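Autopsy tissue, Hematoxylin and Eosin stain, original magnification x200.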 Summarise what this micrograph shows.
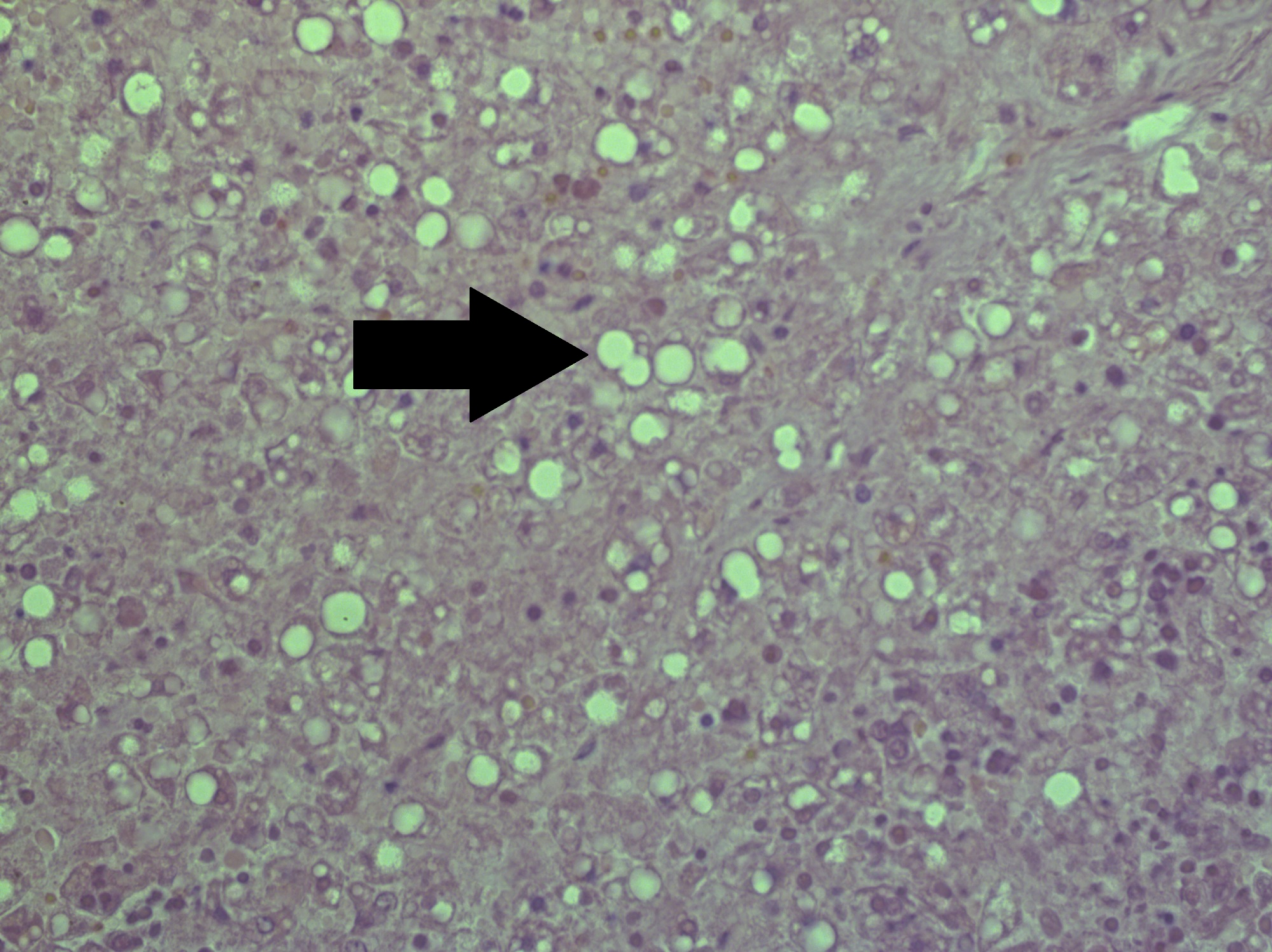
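Liver parenchyma in which many hepatocytes contain large, round, clear vacuoles, often as big as the cell itself, scattered throughout the field. The hepatocytes have blurred outlines and pale, smudged pink-grey cytoplasm, and many nuclei stain faintly, giving the tissue a washed-out, poorly preserved look. A band of more fibrous, streaky tissue crosses the upper right part of the field.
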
